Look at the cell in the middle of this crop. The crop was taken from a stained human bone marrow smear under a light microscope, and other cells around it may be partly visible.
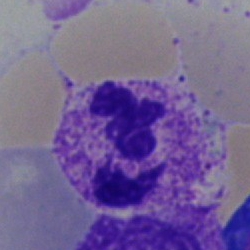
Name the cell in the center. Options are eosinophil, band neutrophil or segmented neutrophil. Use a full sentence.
For this crop, the cell in the middle is a segmented neutrophil.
